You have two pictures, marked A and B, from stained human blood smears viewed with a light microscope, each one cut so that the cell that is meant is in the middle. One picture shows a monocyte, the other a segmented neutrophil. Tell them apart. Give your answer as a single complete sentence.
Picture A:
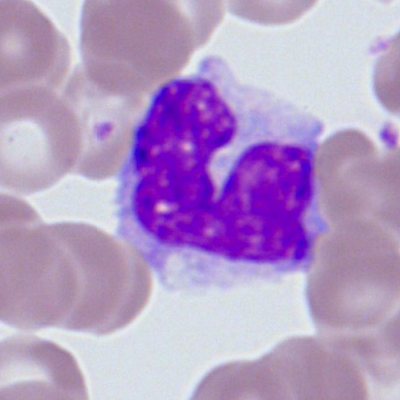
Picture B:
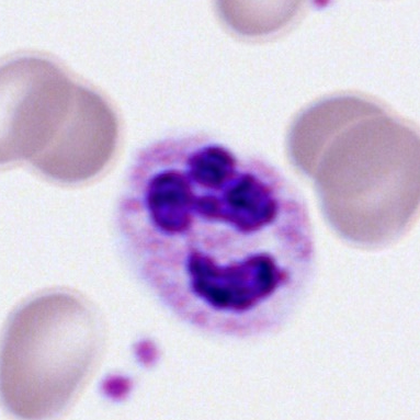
Picture A is of a monocyte, and picture B is of a segmented neutrophil.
